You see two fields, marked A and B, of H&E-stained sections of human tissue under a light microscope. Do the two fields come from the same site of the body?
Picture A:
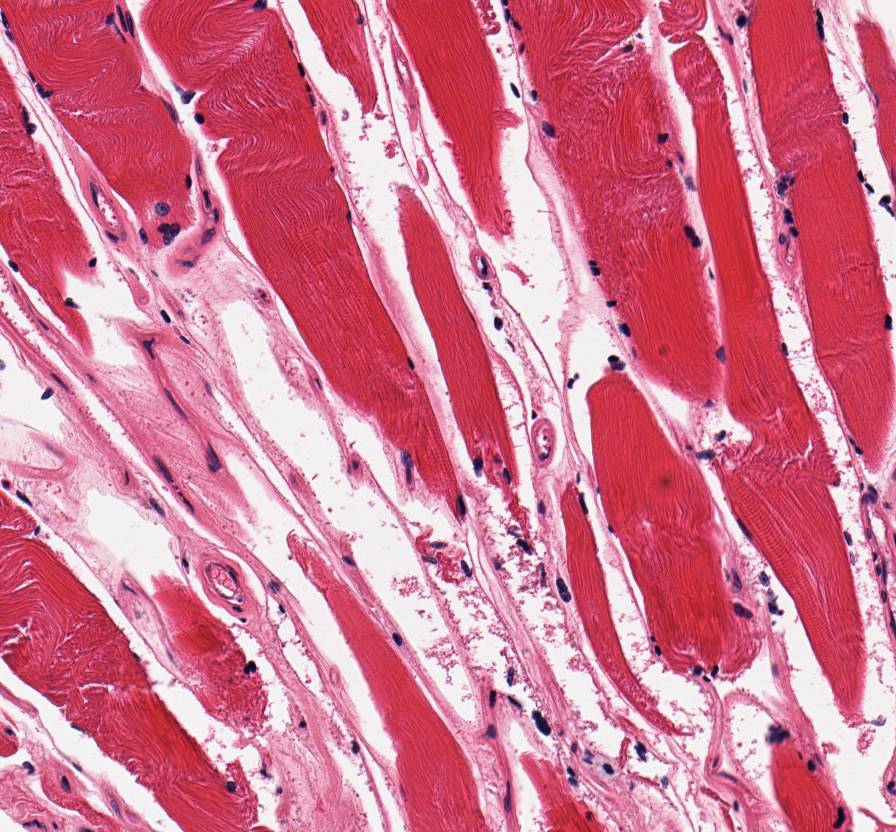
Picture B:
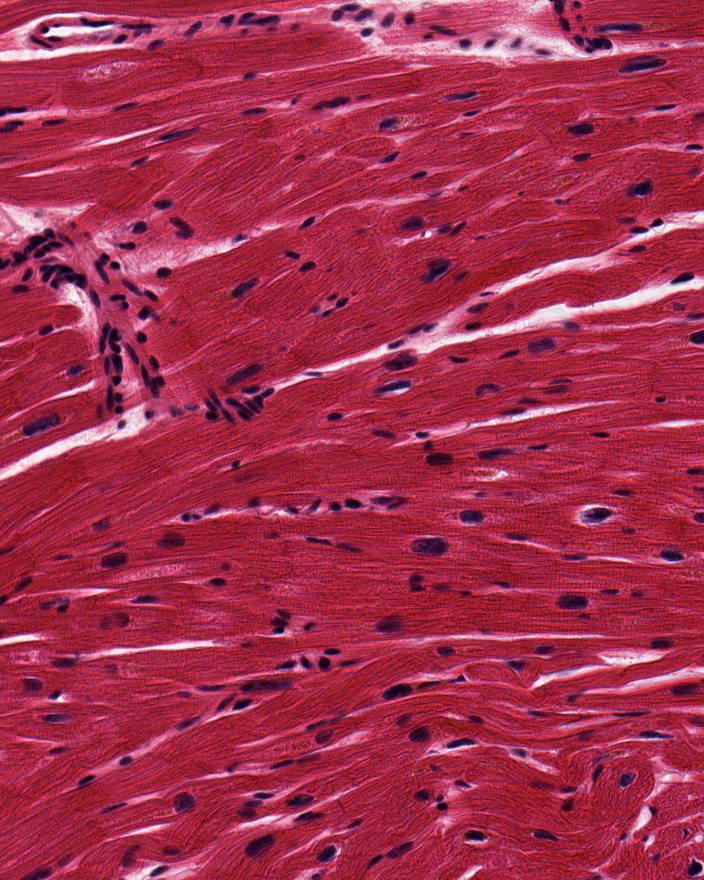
no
